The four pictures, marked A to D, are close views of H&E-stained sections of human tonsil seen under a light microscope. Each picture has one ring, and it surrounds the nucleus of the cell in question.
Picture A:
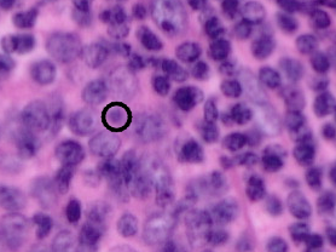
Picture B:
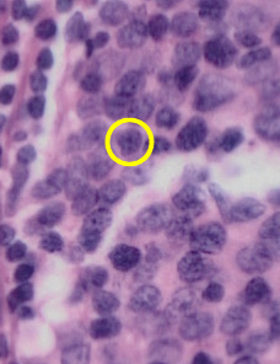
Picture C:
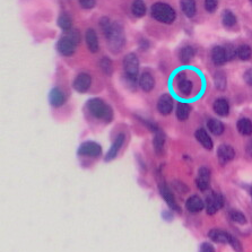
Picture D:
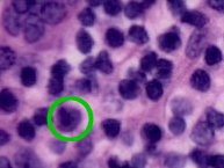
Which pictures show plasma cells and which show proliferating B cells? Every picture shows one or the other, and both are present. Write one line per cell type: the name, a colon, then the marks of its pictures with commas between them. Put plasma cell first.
plasma cell: C
proliferating B cell: A, B, D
